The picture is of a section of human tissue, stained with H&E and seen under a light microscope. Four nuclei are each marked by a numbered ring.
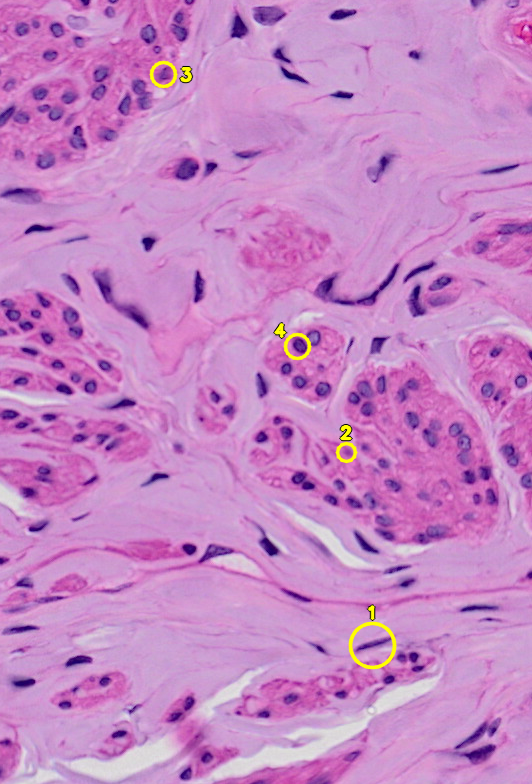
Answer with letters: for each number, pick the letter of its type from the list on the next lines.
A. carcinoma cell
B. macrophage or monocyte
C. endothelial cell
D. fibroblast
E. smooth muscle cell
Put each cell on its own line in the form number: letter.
1: D
2: E
3: E
4: E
